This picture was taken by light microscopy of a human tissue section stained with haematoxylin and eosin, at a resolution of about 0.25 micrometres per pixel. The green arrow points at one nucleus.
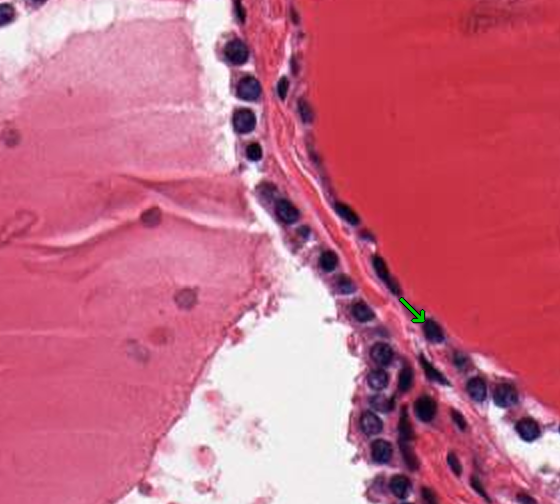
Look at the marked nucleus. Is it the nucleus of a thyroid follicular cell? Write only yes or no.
yes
